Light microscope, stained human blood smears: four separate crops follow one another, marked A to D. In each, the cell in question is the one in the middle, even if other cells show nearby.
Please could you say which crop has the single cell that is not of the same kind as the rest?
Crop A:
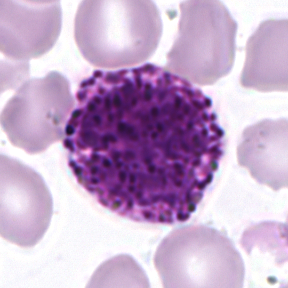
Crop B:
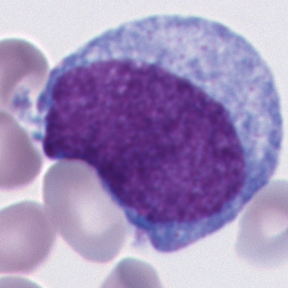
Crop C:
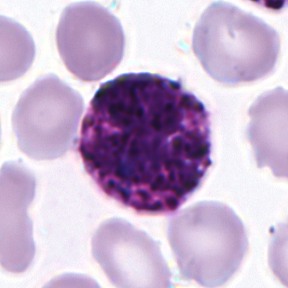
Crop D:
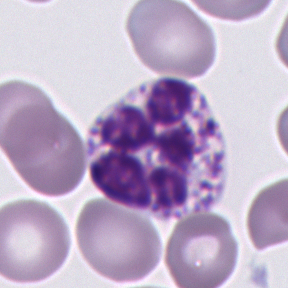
B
